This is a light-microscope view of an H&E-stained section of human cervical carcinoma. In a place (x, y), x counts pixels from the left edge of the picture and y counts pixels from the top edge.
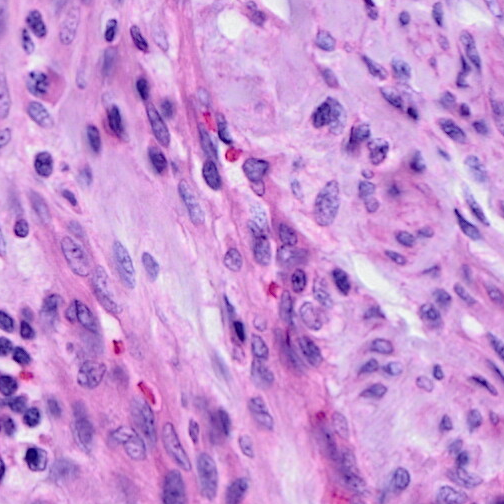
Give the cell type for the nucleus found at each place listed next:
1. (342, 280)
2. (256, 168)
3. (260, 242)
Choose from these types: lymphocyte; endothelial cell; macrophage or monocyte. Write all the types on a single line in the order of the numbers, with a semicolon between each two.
lymphocyte; endothelial cell; endothelial cell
